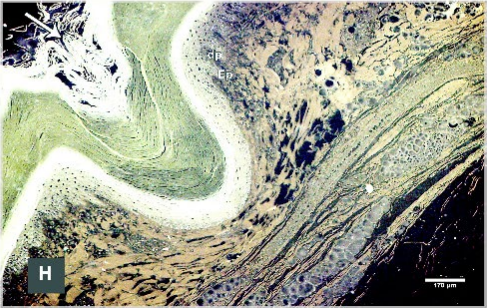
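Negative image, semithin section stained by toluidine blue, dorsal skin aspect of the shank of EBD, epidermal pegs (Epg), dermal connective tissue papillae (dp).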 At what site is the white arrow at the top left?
sulcus region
